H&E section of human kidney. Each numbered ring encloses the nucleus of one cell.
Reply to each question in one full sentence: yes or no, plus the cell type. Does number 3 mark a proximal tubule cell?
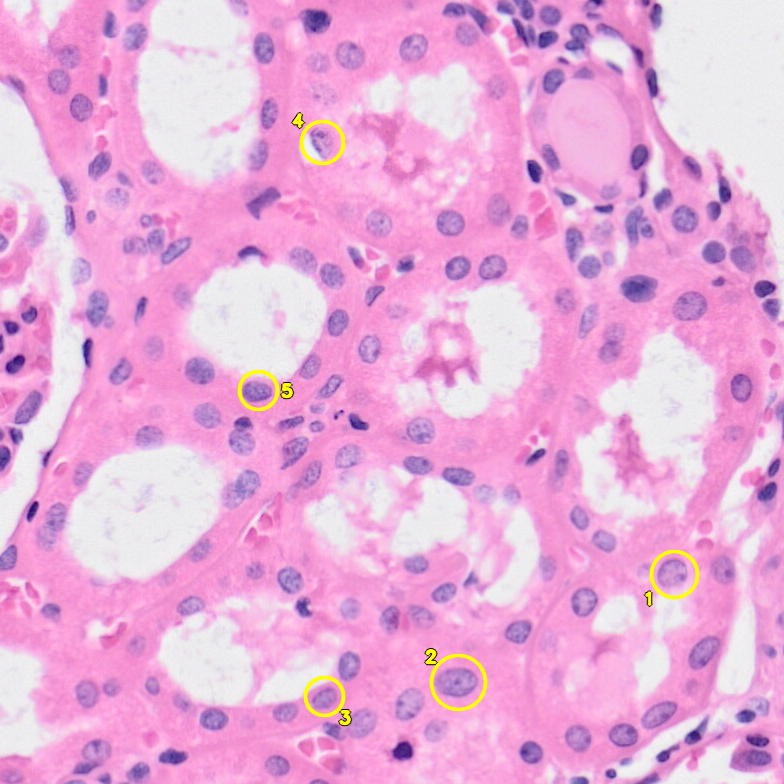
No, cell 3 is to be read as a loop of Henle or distal tubule cell, not a proximal tubule cell.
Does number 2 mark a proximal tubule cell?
Yes, the cell with number 2 is a proximal tubule cell.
